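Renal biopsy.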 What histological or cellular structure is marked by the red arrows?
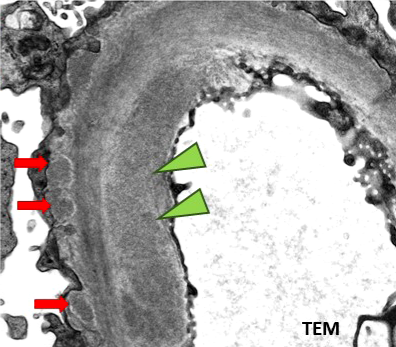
Subepithelial electron dense deposits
